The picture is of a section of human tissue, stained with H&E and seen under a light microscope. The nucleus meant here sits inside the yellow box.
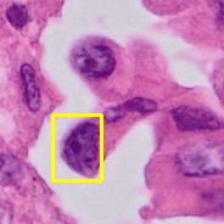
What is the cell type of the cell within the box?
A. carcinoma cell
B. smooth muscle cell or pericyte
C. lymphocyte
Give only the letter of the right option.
A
